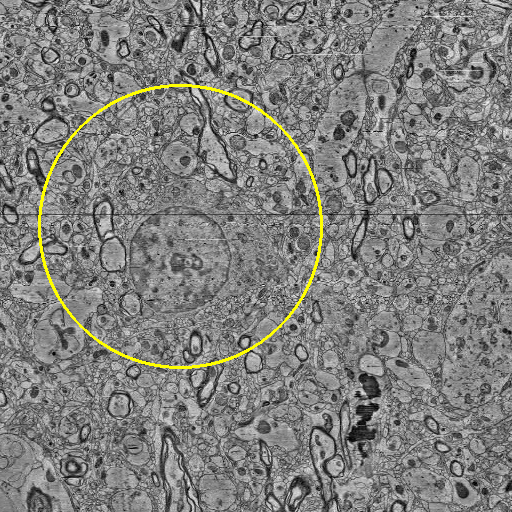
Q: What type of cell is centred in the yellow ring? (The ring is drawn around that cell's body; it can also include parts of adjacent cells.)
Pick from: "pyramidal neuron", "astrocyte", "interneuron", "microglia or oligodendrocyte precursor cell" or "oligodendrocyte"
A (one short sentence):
The yellow ring is centred on an oligodendrocyte.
